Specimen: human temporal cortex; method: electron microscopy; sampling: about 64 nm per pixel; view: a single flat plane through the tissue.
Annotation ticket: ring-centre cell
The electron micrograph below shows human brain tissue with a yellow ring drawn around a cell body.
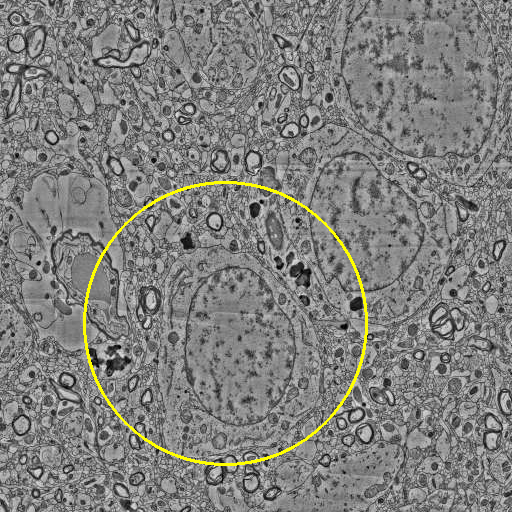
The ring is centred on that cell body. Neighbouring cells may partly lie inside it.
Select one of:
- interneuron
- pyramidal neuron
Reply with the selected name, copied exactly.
pyramidal neuron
